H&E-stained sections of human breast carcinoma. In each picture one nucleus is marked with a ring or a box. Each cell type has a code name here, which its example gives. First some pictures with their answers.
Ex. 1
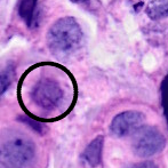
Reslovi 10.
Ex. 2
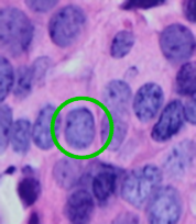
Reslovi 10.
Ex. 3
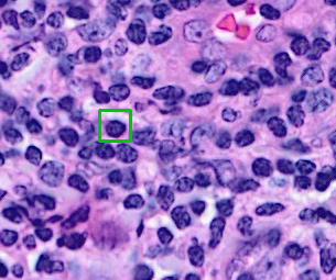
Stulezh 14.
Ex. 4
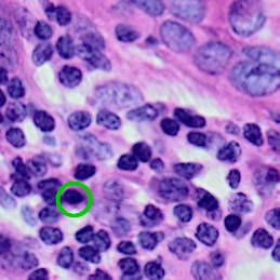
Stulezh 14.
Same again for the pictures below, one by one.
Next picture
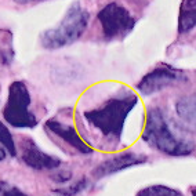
Reslovi 10.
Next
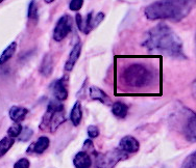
Reslovi 10.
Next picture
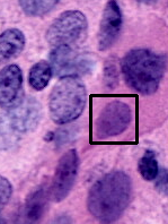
Reslovi 10.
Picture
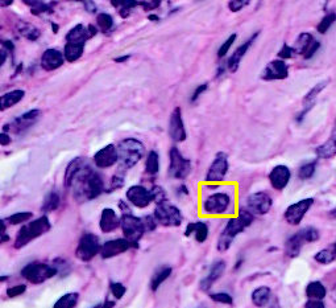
Stulezh 14.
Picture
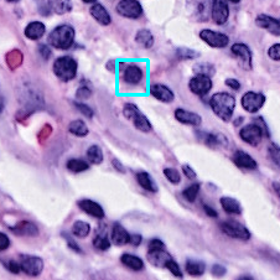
Stulezh 14.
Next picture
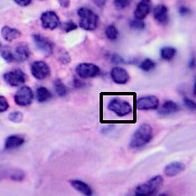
Stulezh 14.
